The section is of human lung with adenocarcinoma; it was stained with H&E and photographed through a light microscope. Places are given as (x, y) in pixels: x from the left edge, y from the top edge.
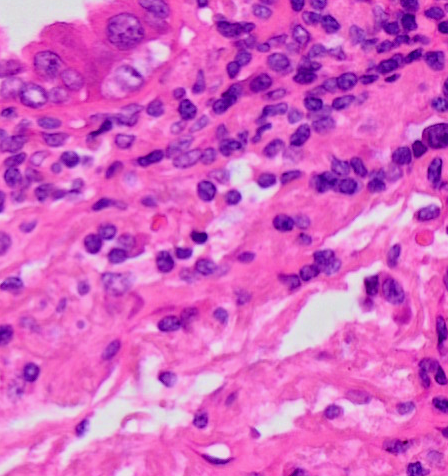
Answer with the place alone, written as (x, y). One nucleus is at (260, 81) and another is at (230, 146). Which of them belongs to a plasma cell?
(260, 81)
